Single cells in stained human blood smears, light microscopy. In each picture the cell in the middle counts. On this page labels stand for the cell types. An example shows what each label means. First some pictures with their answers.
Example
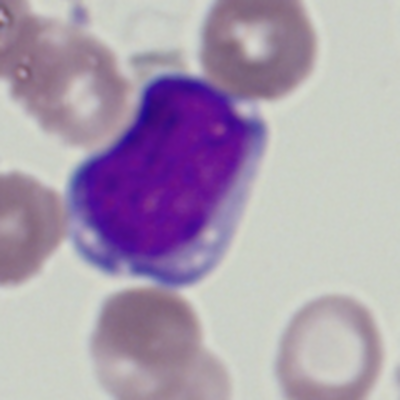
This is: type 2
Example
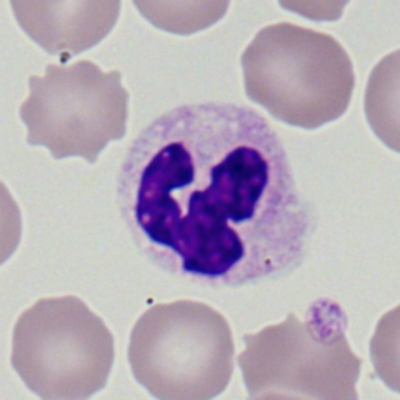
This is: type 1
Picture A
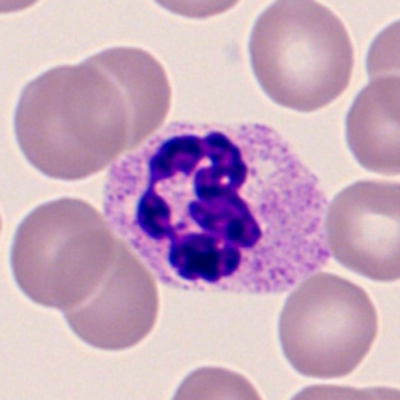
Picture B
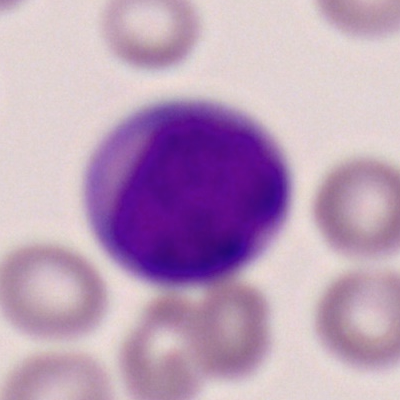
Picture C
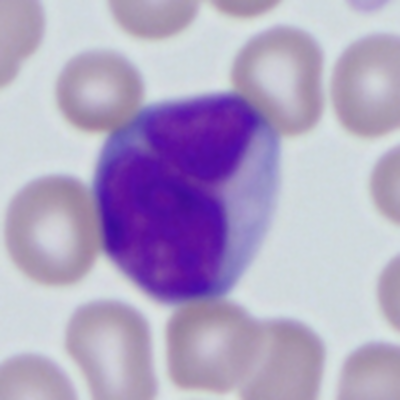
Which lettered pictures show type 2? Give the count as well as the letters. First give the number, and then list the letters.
2: B, C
